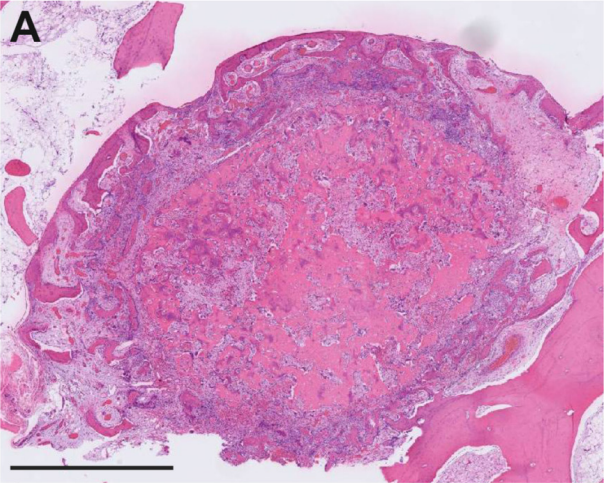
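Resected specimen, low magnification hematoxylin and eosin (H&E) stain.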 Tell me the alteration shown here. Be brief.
A well-defined lesion surrounded by sclerotic bone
